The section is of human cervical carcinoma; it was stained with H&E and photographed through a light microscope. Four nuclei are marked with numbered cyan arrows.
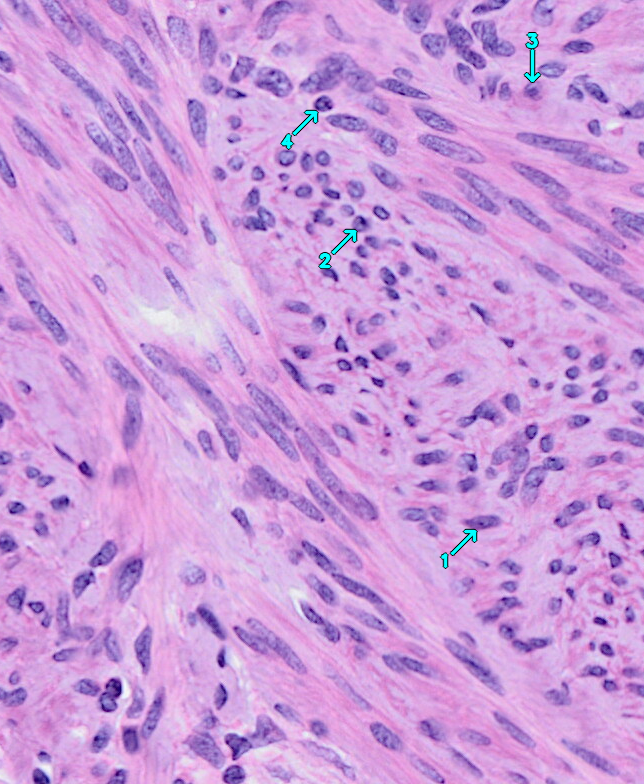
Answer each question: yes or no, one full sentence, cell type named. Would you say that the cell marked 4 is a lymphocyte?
Yes, number 4 corresponds to a lymphocyte.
